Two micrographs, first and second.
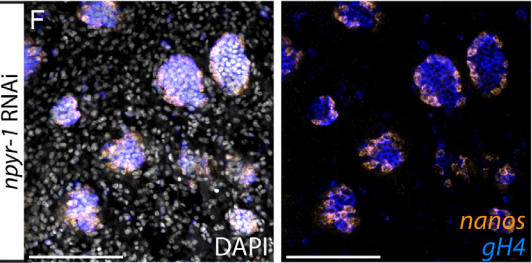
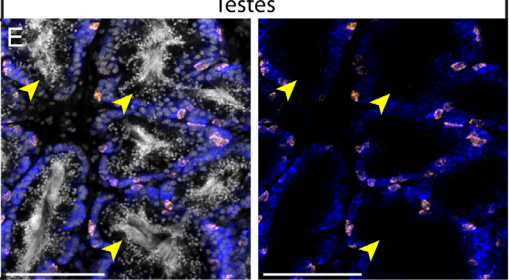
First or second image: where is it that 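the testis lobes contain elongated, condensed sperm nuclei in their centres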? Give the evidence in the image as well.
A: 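Second image: large lobes with a labelled outer rim and bright, thread-like nuclei bundled in the centre.
The second image.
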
